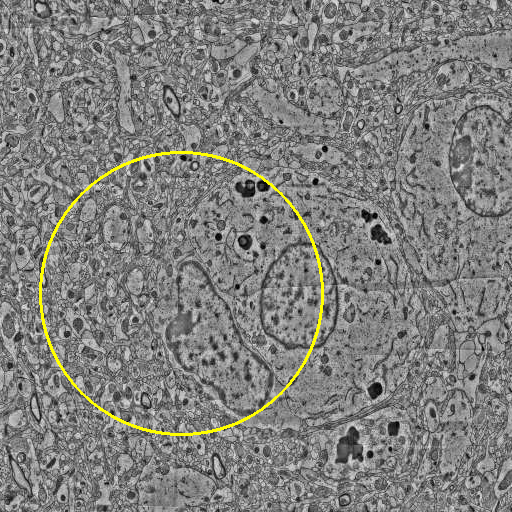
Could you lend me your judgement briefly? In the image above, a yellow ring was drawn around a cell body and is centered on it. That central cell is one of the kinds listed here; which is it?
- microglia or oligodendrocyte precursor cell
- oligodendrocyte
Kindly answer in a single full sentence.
Going by the list, a microglial cell or oligodendrocyte precursor cell is the kind at the ring's center in the picture.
